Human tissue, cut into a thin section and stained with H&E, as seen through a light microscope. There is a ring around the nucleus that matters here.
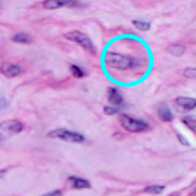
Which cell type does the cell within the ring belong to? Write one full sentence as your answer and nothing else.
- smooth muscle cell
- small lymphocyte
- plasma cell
Assigned to a cell type, the cell within the ring is a smooth muscle cell.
